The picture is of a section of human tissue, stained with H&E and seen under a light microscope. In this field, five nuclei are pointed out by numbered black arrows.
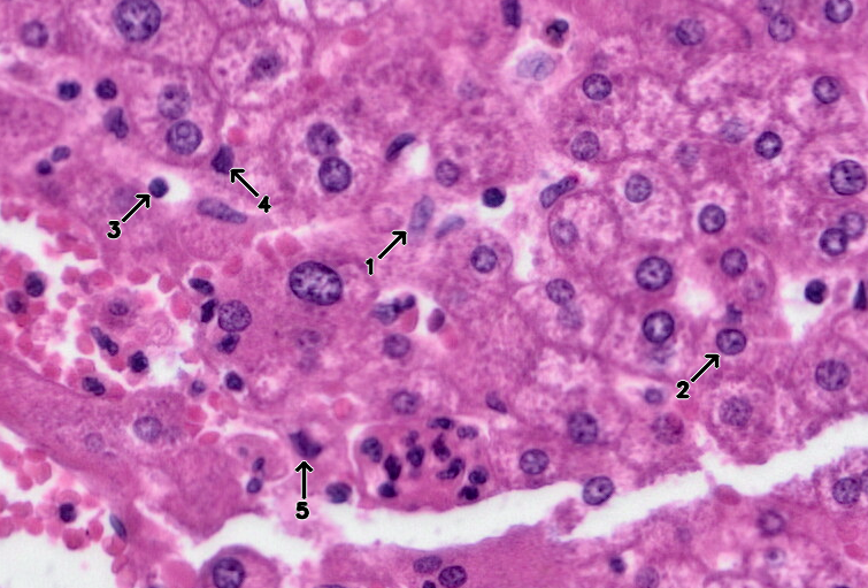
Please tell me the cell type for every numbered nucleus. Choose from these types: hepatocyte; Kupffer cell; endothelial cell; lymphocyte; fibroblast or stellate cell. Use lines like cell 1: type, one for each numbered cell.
cell 1: Kupffer cell
cell 2: hepatocyte
cell 3: lymphocyte
cell 4: fibroblast or stellate cell
cell 5: fibroblast or stellate cell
